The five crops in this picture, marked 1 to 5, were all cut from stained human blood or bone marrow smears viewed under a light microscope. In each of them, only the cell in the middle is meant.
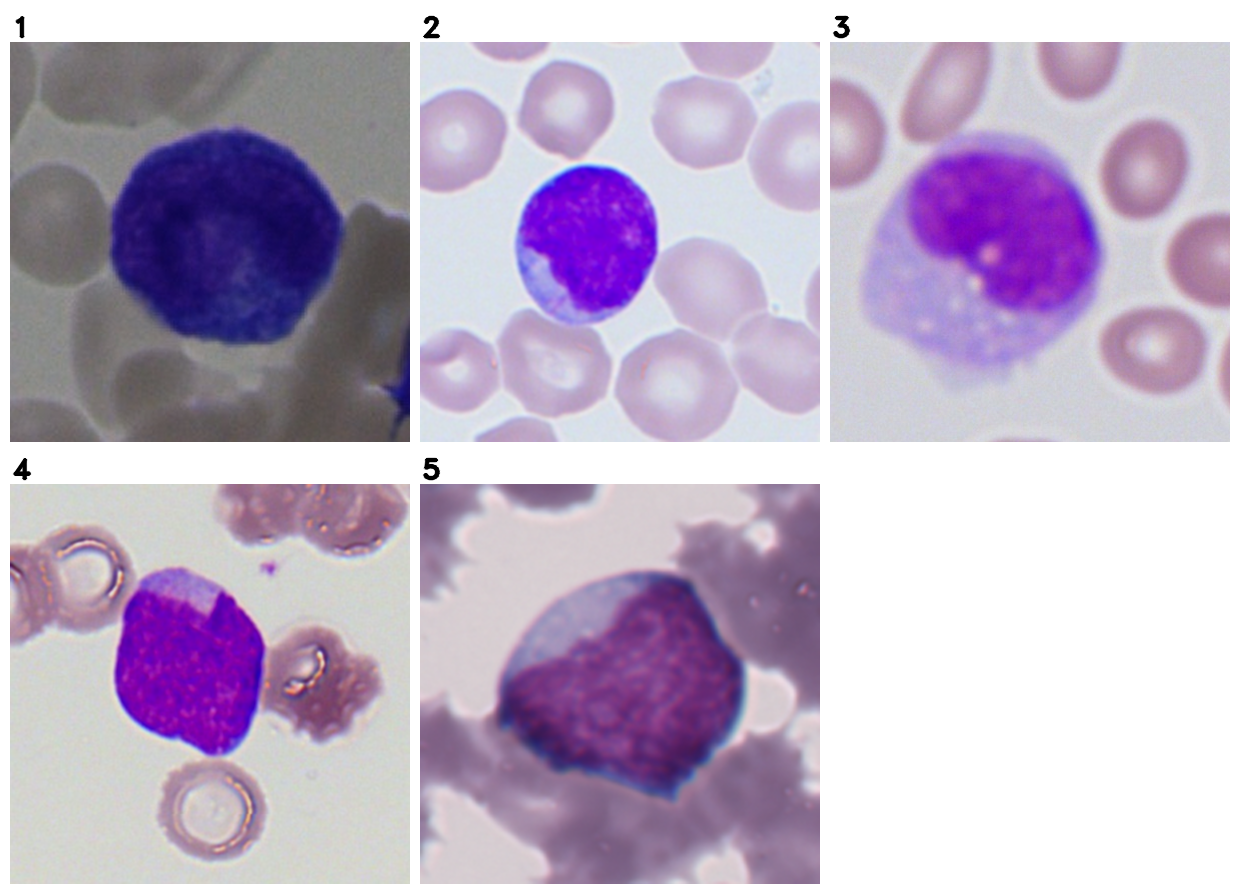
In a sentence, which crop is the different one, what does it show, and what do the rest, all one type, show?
The single exception is crop 3, which is a monocyte; all other crops show blasts.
